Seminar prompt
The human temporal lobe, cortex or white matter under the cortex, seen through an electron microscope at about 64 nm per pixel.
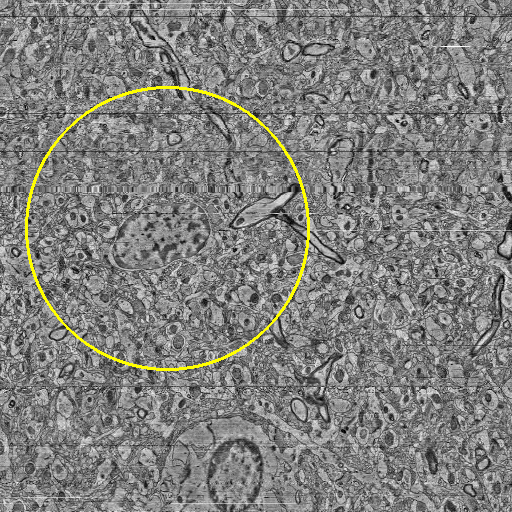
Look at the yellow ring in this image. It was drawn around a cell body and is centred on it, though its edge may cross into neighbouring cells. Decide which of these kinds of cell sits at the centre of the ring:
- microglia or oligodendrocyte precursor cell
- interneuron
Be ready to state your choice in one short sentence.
The kind of cell at the ring's centre is a microglial cell or oligodendrocyte precursor cell.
